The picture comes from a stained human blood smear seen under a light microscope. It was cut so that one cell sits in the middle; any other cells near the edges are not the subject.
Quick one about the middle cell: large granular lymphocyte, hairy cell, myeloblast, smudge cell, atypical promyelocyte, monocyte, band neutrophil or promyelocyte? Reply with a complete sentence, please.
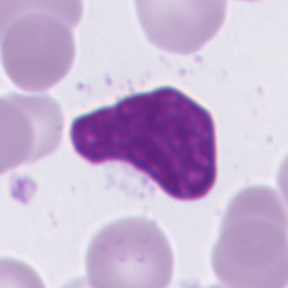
Looking at the middle of the crop, the cell there is a smudge cell.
